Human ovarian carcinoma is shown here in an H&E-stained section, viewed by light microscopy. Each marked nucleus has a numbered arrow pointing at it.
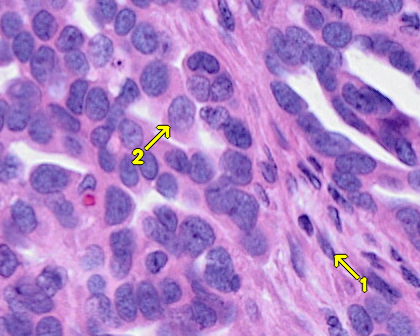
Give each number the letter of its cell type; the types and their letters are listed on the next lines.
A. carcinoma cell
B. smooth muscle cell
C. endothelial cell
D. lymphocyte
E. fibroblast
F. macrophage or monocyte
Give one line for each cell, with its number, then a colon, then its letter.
1: E
2: A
